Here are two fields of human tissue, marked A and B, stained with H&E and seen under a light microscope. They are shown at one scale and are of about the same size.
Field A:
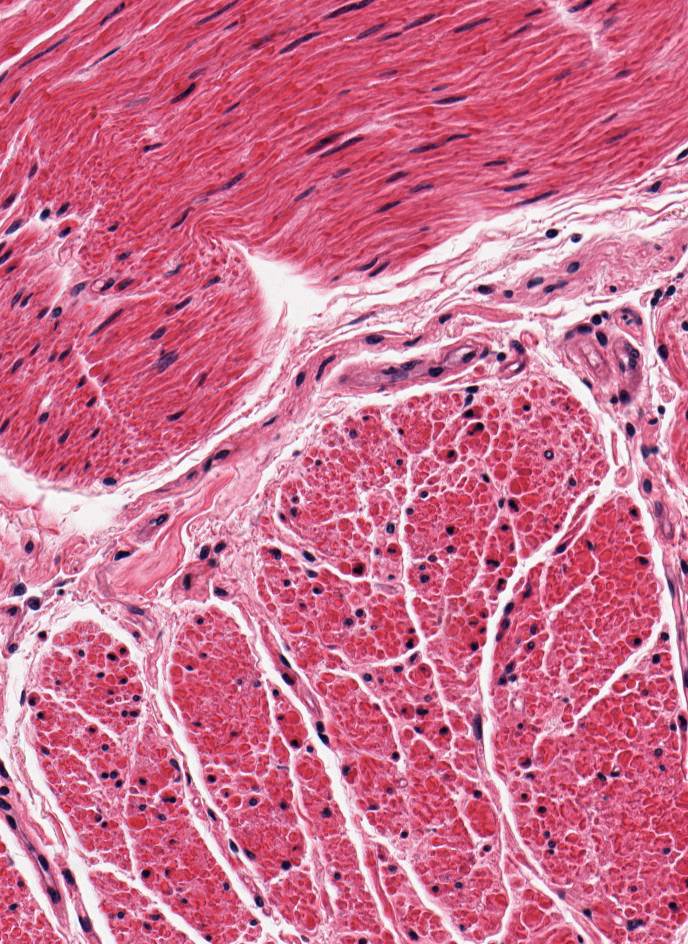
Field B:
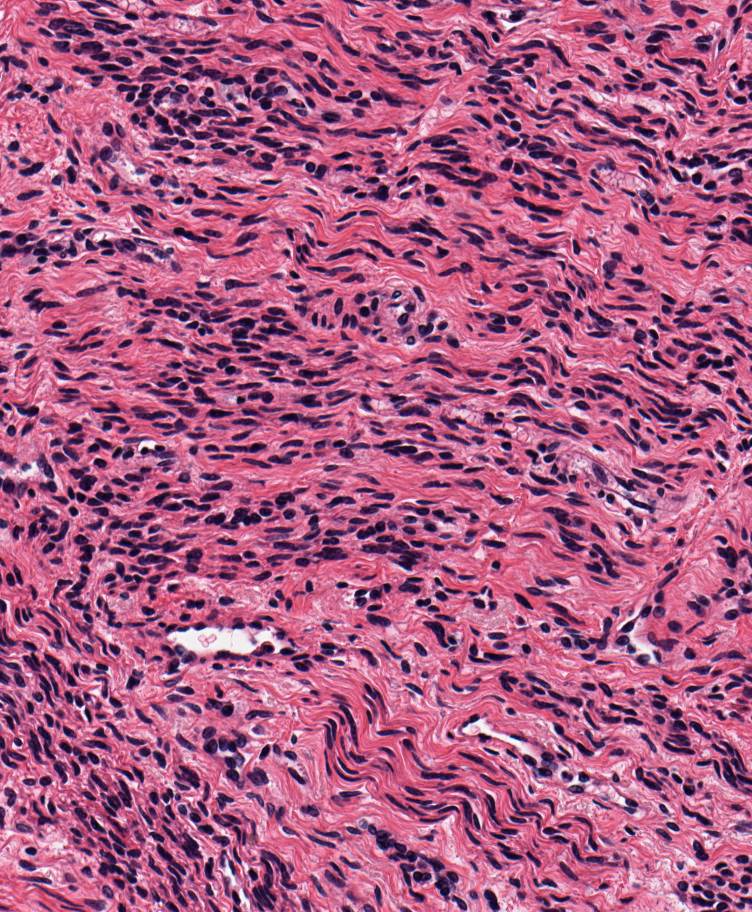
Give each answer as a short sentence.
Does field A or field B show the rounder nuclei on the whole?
It is field A whose nuclei are the rounder.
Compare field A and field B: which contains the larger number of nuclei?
Field B holds more nuclei than field A.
